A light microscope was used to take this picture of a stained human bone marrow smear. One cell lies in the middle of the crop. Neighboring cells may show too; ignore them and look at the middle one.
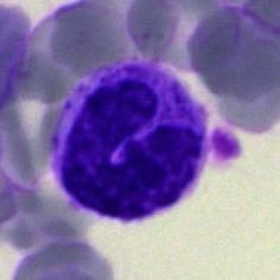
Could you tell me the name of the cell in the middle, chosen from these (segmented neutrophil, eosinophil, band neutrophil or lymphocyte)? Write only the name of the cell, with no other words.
band neutrophil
